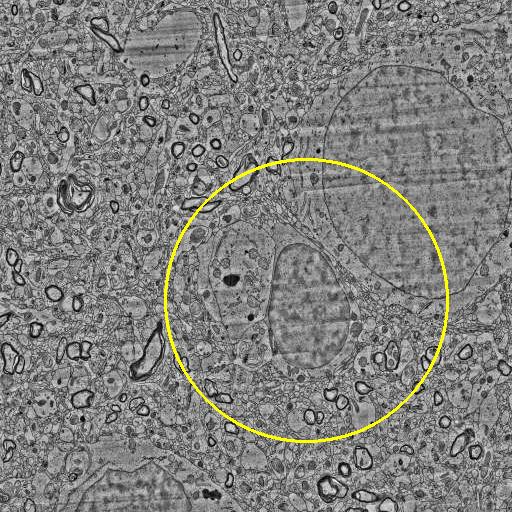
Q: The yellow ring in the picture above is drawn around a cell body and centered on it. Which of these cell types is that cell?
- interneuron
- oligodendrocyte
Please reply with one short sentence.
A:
The cell body at the ring's center belongs to an oligodendrocyte.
